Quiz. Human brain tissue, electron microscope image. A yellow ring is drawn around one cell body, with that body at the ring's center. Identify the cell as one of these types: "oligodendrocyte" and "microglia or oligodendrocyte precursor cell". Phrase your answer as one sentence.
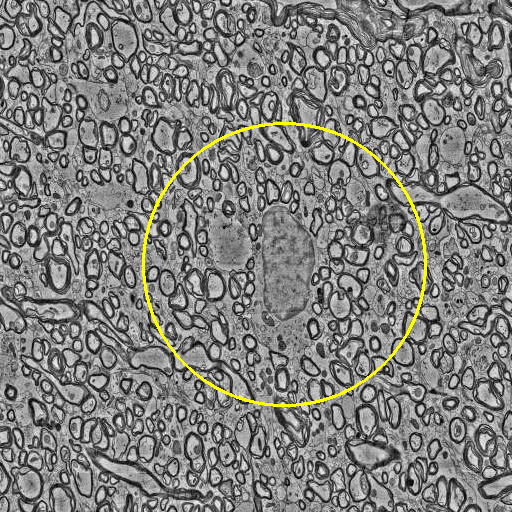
At the center of the ring sits an oligodendrocyte.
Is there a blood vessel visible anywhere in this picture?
No.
